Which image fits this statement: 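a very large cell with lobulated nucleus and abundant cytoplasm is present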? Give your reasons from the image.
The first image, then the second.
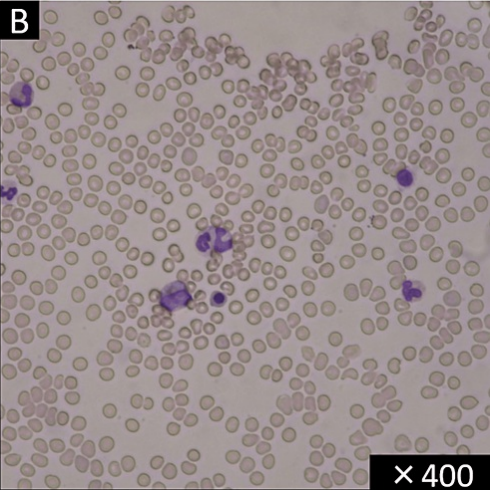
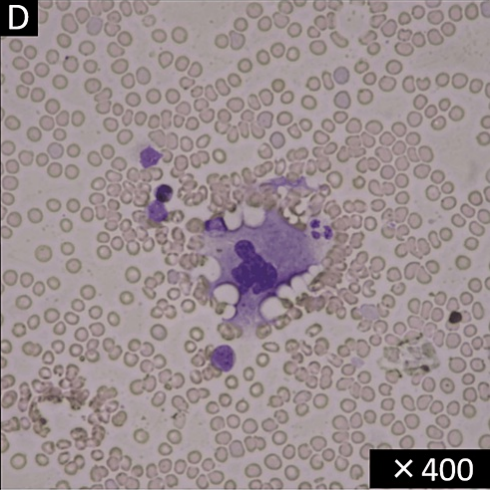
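The second image. Second image: a single very large cell with a lobulated dark nucleus and broad pale purple cytoplasm lies in the centre. First image: only red cells and a few small nucleated cells, no large cell.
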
